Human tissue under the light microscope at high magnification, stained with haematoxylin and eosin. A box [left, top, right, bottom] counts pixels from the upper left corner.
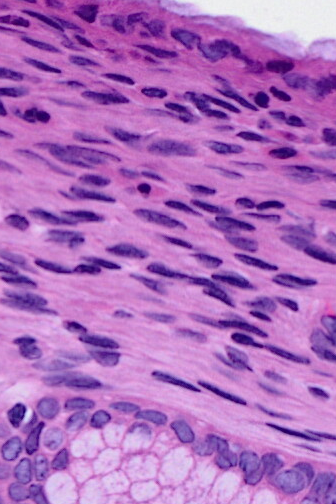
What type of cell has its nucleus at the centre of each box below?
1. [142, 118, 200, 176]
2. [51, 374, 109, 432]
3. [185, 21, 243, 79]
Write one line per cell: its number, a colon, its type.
1: fibroblast
2: secretory epithelial cell
3: secretory epithelial cell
